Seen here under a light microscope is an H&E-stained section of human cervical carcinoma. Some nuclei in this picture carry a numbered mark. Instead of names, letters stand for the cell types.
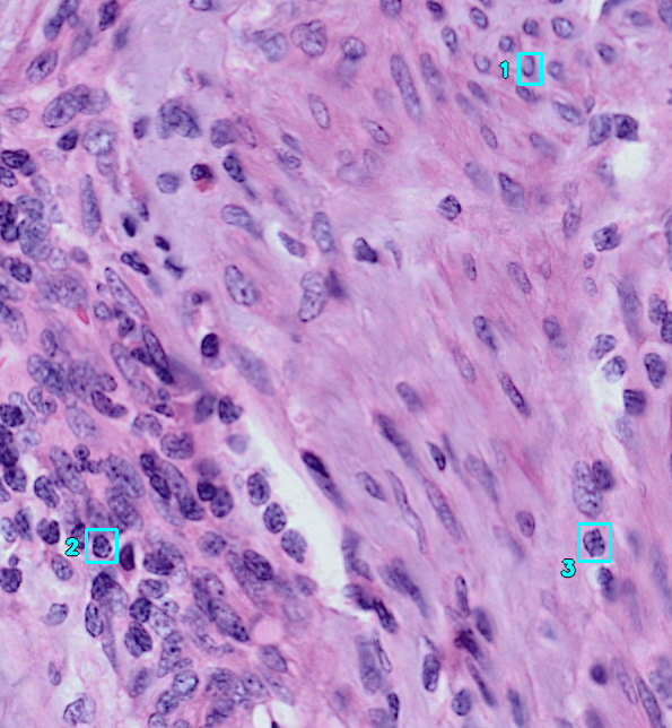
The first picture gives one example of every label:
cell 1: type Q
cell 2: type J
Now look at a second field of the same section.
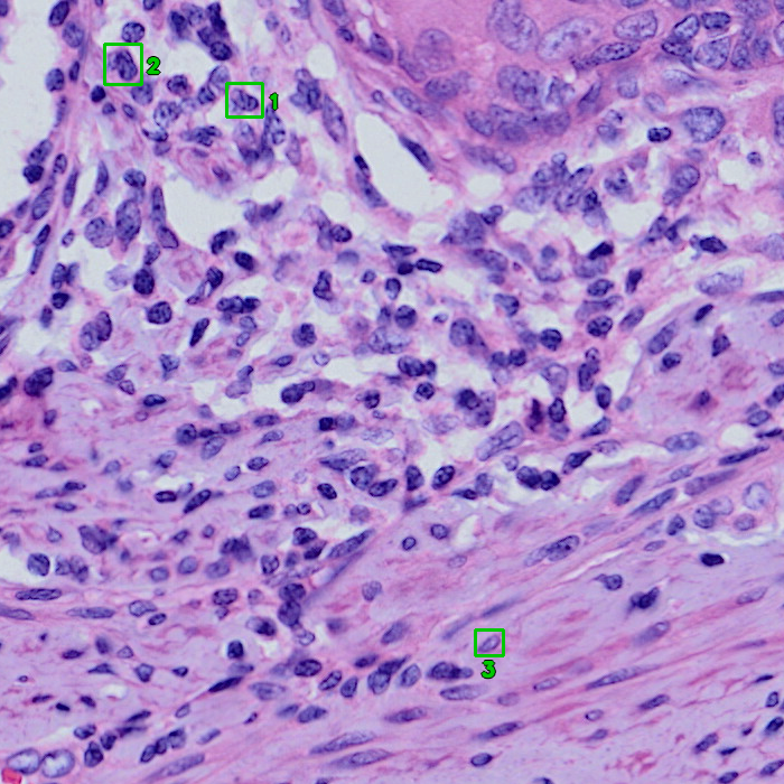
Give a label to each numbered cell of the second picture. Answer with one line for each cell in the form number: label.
1: type J
2: type J
3: type Q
